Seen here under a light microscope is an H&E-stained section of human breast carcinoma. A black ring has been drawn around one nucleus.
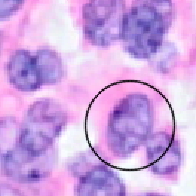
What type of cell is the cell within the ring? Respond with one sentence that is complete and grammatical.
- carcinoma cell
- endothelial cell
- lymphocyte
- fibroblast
In the tissue at hand, the cell within the ring is a carcinoma cell.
